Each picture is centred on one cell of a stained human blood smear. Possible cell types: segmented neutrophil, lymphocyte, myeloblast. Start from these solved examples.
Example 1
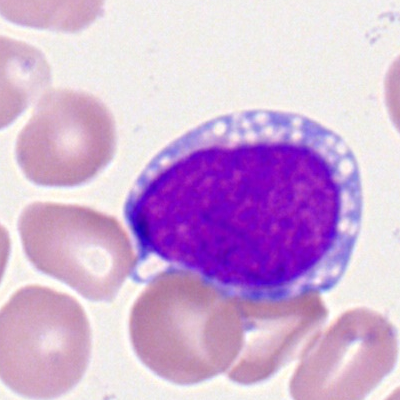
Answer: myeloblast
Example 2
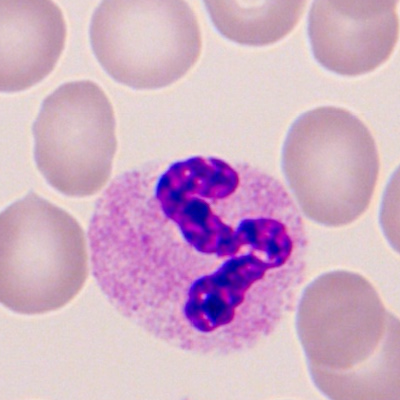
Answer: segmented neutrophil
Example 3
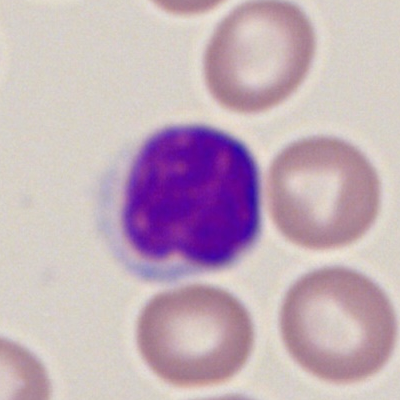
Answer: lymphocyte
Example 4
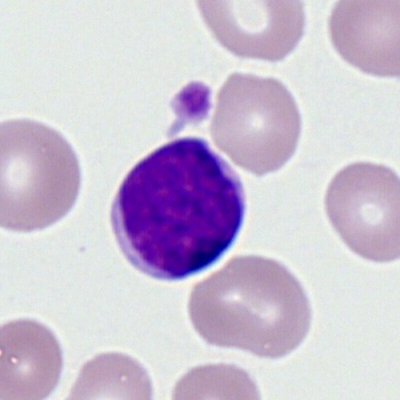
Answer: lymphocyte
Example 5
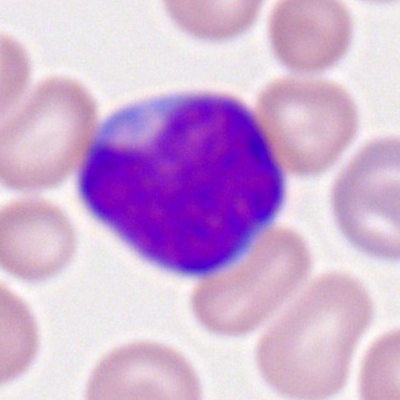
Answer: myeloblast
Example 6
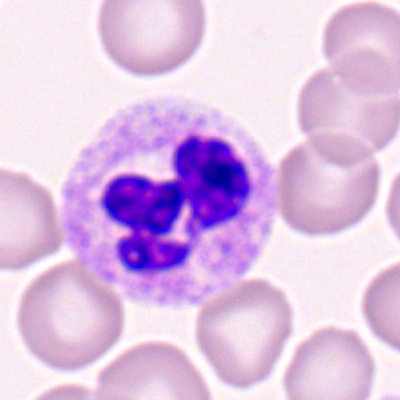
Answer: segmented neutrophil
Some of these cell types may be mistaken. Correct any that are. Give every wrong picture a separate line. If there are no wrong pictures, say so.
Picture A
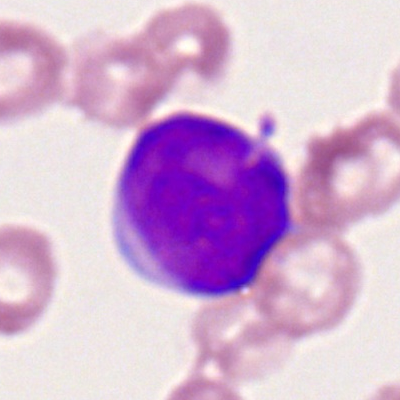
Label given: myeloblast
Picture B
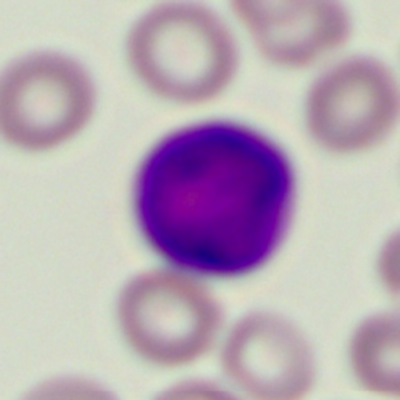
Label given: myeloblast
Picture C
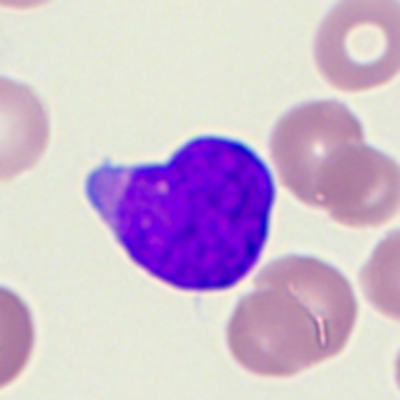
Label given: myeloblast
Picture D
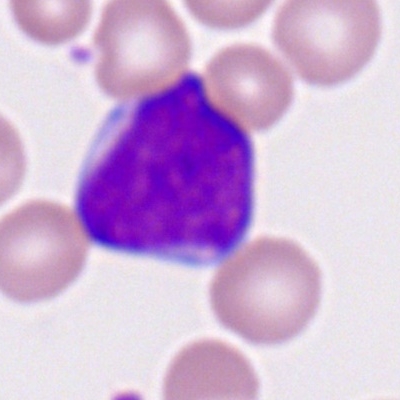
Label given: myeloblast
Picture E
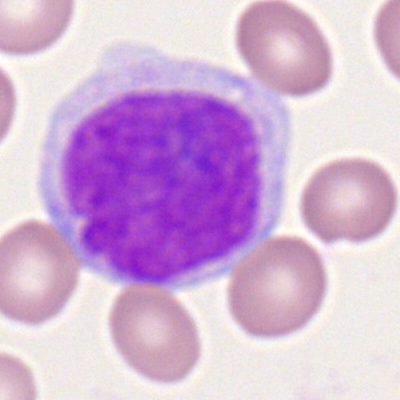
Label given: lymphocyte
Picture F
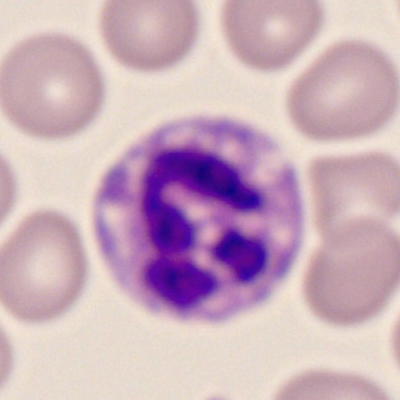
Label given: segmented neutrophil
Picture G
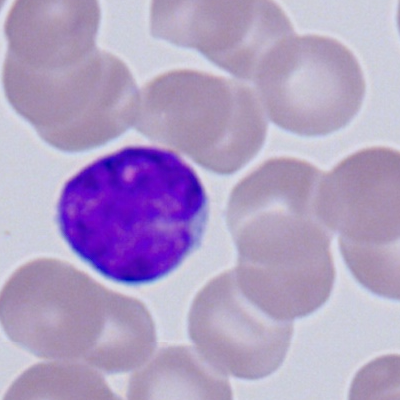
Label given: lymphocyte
E is labelled lymphocyte; correct label: myeloblast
